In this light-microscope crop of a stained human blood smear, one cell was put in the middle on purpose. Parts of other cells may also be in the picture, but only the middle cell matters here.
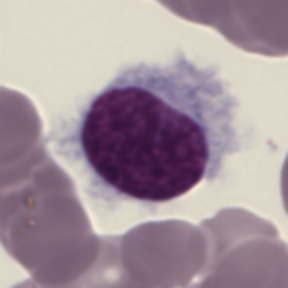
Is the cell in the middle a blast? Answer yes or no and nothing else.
no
